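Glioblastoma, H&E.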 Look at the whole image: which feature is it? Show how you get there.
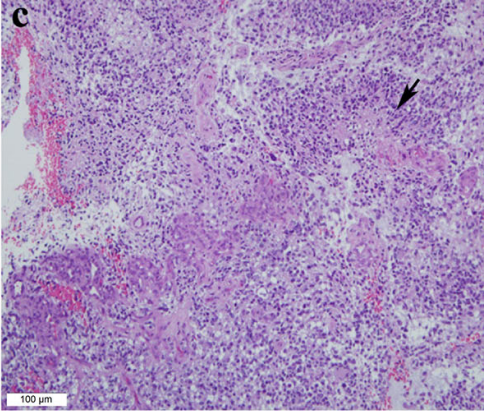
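Several pink, tufted vascular structures lie among densely cellular tumour. The pink structures are thick and multilayered rather than thin capillaries.
Microvascular proliferation.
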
